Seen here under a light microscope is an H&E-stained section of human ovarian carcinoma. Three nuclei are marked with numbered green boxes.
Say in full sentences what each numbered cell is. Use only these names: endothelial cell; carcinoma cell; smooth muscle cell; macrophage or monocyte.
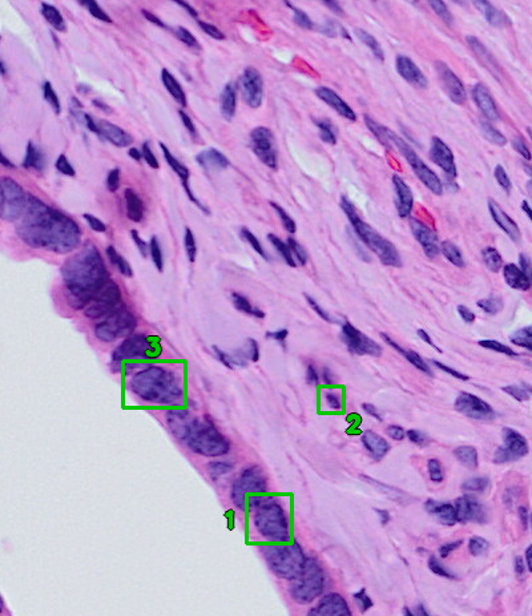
Cells 1 and 3 are carcinoma cells. Cell 2 is a smooth muscle cell.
